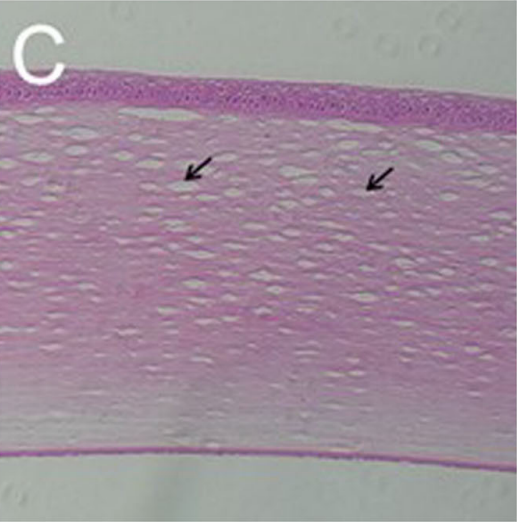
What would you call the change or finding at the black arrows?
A: loosen stroma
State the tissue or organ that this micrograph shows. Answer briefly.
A: Cornea.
